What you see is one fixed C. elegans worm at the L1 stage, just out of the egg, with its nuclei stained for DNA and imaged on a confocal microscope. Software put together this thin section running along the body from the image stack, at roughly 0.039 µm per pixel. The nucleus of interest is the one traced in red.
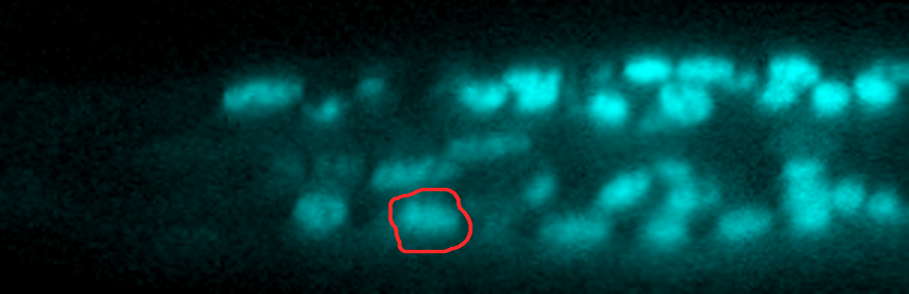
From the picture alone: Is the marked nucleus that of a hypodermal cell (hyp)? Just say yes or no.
yes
